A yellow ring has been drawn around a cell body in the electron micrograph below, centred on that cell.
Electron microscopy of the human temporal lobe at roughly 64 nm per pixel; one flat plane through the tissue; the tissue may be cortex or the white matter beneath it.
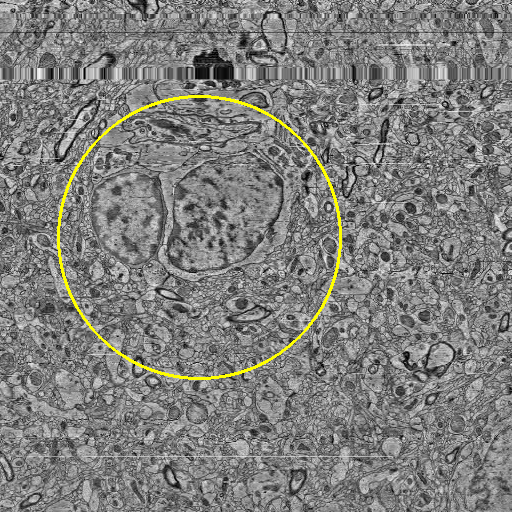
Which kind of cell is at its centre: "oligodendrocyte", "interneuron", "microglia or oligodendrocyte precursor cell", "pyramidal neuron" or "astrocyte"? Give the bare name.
microglia or oligodendrocyte precursor cell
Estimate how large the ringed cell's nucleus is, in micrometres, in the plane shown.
About 9 micrometres by about 7 micrometres in this plane.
